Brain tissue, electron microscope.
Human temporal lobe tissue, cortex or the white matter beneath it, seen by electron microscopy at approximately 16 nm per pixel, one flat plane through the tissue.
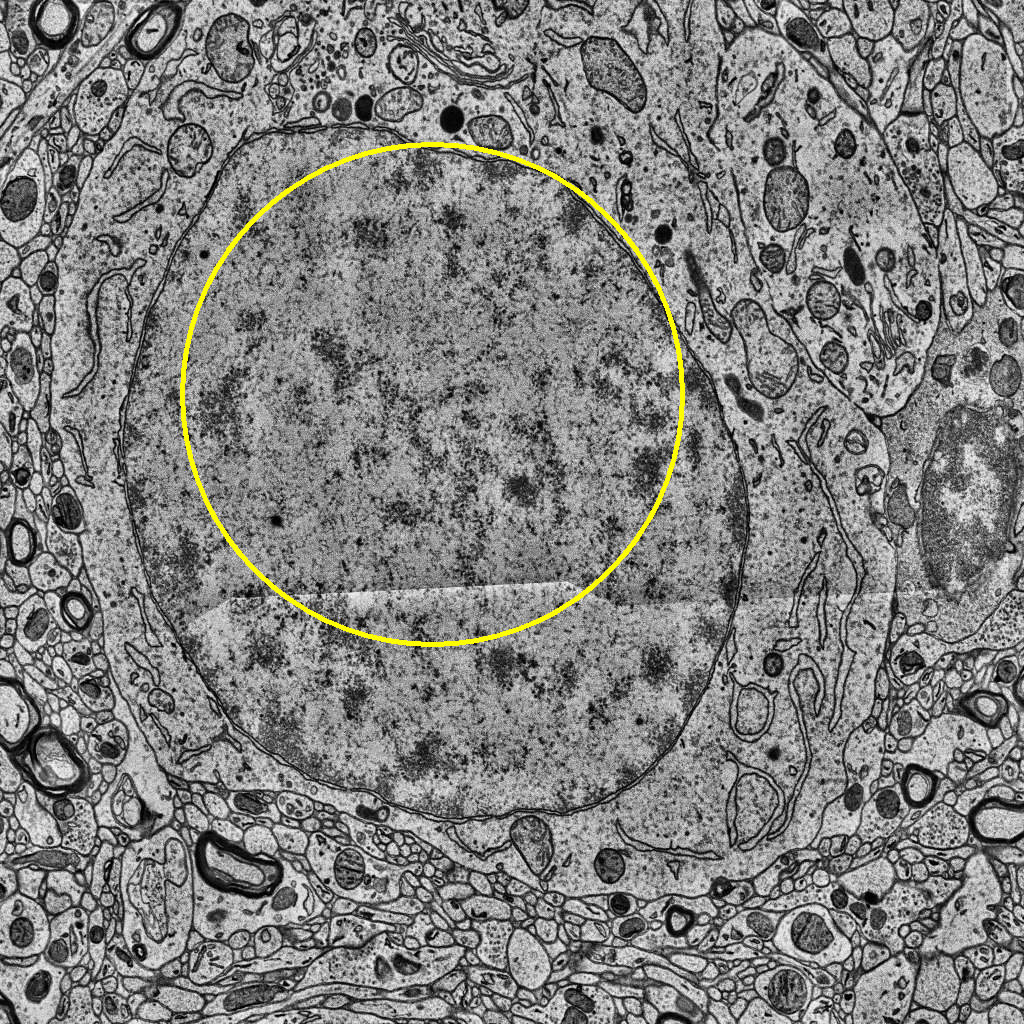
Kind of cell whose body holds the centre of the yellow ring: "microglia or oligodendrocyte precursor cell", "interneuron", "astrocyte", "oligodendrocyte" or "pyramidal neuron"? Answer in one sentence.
The ring's centre falls on an interneuron.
